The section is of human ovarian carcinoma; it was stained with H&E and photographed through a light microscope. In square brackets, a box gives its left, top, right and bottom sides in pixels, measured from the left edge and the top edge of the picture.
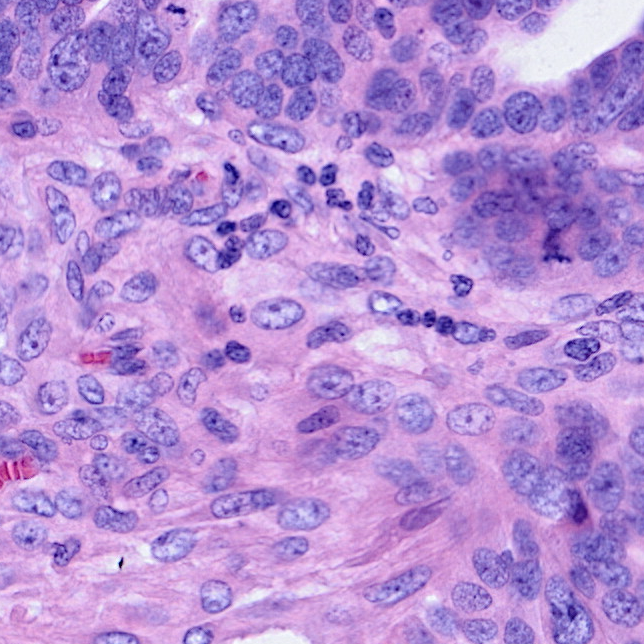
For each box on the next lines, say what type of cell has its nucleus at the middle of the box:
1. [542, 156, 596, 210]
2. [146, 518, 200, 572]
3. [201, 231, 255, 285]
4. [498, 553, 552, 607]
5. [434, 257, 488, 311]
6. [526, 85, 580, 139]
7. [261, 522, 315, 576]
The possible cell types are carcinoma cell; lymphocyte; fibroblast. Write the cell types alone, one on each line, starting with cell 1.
carcinoma cell
fibroblast
lymphocyte
carcinoma cell
lymphocyte
carcinoma cell
fibroblast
